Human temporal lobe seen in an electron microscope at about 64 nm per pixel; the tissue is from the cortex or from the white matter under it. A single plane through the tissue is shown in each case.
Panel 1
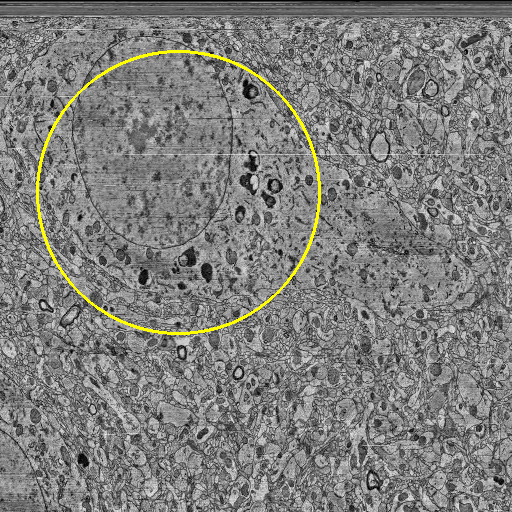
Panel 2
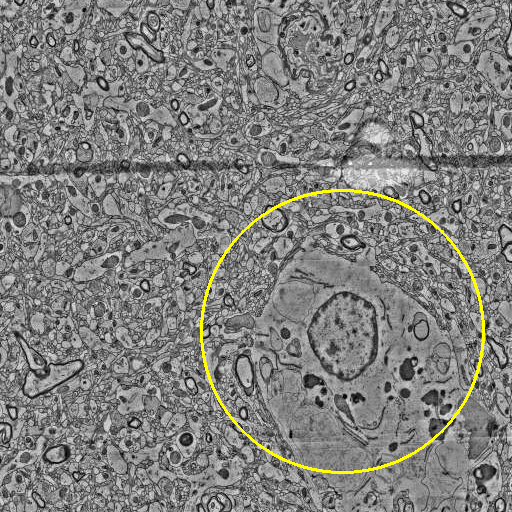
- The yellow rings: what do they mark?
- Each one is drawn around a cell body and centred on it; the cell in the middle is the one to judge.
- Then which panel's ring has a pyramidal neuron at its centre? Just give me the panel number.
1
